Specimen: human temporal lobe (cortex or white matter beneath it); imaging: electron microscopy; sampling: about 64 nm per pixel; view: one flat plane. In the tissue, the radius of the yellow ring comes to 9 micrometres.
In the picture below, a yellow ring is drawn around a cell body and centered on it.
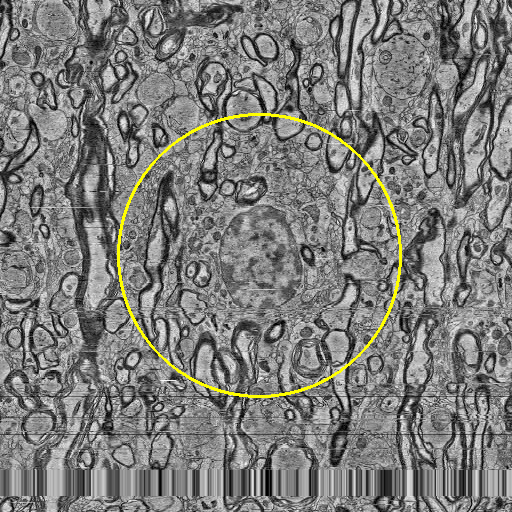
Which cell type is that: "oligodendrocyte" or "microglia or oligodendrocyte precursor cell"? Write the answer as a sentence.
The cell centered in the ring is a microglial cell or oligodendrocyte precursor cell.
